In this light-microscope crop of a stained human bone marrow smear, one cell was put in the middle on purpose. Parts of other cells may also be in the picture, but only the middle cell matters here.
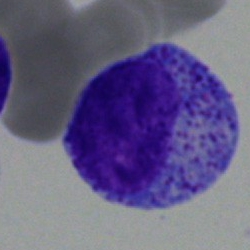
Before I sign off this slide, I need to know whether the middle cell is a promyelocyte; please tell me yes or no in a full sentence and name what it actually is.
Yes, that middle cell in the crop is a promyelocyte.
